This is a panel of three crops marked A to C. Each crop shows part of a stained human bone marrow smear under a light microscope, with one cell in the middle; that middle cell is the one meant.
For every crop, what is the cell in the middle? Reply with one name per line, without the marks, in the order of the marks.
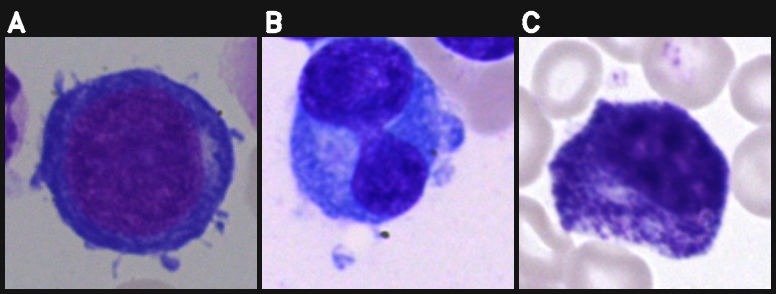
proerythroblast
plasma cell
promyelocyte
